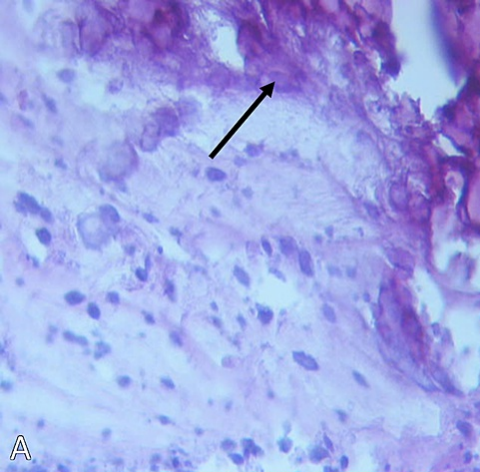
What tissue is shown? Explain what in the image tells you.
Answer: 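Fibroconnective tissue. Pale, loosely fibrillar stroma. Scattered small oval and spindle-shaped dark nuclei between fibres.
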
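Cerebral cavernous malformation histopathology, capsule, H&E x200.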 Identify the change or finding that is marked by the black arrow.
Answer: Dystrophic calcifications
